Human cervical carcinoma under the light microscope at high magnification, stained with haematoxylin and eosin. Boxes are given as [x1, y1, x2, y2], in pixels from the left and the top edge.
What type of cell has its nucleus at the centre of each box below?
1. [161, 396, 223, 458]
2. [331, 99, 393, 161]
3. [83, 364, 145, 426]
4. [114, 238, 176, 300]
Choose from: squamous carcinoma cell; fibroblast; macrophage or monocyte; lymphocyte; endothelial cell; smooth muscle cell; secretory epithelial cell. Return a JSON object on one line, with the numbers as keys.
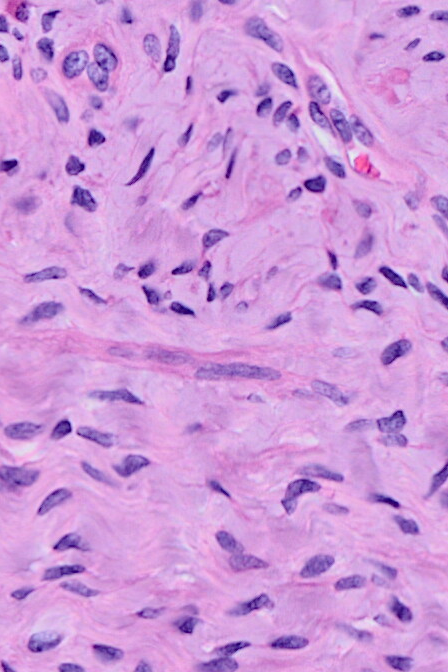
{"1": "fibroblast", "2": "endothelial cell", "3": "fibroblast", "4": "fibroblast"}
